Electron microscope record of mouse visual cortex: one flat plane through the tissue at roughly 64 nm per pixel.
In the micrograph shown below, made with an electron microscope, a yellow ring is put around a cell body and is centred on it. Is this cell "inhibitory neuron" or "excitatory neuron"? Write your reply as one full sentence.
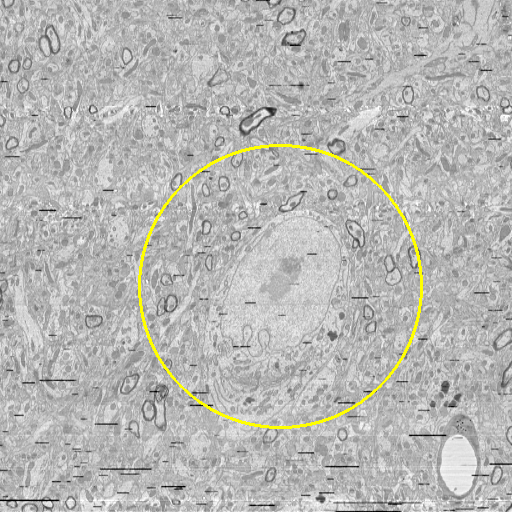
In the micrograph, an inhibitory neuron is the cell at the centre of the yellow ring.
